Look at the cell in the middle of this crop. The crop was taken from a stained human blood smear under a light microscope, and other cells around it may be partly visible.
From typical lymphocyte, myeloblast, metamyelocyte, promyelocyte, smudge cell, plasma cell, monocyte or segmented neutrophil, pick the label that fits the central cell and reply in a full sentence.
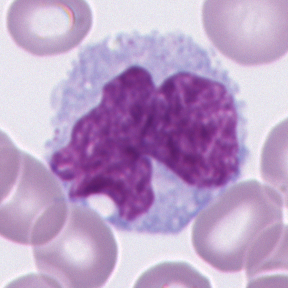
Here the centrally located cell is a monocyte.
